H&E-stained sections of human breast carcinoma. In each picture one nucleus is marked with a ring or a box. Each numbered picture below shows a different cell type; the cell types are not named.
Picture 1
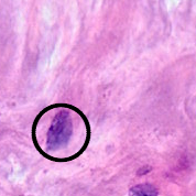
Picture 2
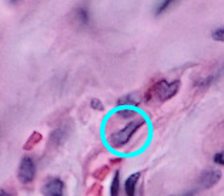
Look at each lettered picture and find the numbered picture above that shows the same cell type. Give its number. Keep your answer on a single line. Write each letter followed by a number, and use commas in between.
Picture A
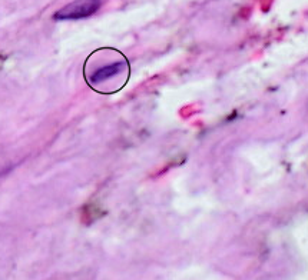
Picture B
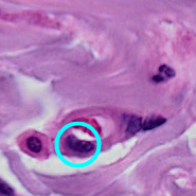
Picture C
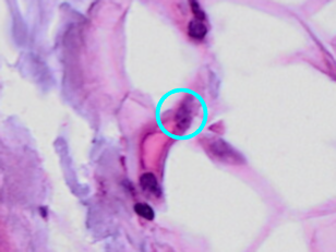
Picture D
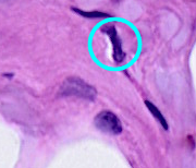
A 1, B 2, C 2, D 1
